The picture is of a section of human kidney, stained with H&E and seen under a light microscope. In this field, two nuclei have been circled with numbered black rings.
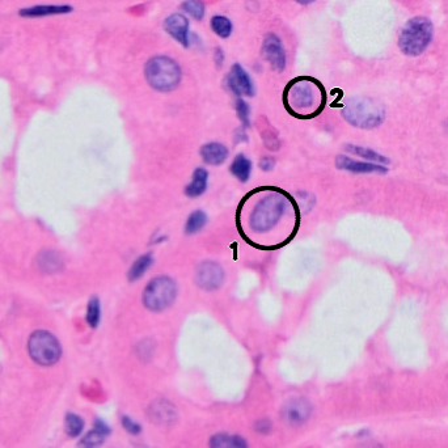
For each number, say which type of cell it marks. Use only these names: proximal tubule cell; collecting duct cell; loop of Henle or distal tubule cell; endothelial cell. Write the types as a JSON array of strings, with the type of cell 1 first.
["proximal tubule cell", "loop of Henle or distal tubule cell"]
